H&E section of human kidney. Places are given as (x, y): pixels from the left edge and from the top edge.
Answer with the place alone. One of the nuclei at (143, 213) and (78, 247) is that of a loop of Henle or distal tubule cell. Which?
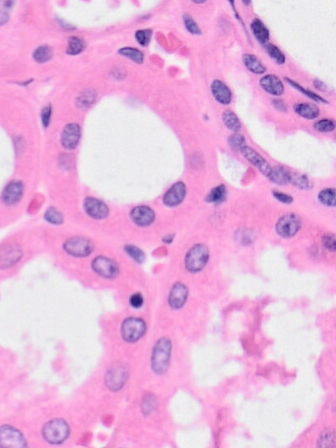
(143, 213)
